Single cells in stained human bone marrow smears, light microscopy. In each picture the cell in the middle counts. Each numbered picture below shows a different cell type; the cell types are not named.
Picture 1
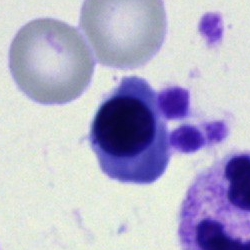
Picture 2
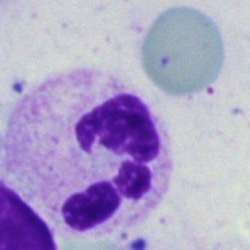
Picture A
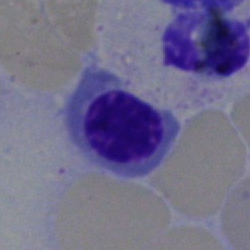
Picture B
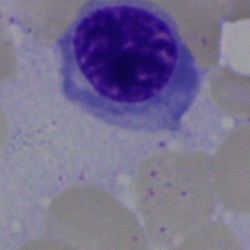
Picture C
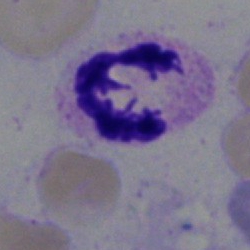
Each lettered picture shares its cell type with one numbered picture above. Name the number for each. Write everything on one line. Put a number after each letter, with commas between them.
A 1, B 1, C 2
